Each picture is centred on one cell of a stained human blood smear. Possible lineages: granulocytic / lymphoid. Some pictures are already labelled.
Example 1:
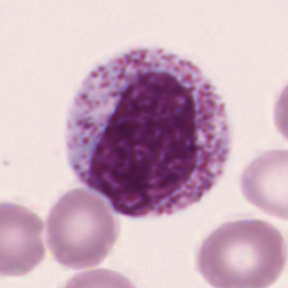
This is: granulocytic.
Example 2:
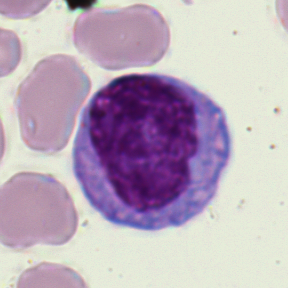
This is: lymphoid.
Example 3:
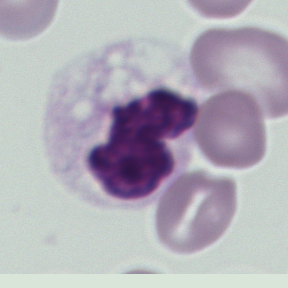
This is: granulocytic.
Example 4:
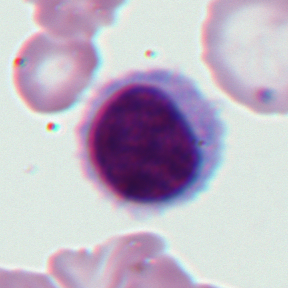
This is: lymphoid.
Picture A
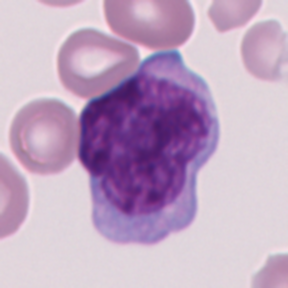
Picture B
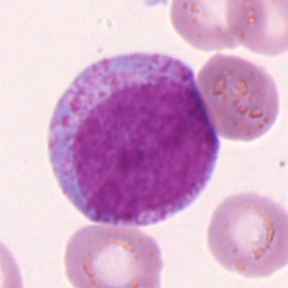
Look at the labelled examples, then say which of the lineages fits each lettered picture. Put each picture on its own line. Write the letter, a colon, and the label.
A: granulocytic.
B: granulocytic.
